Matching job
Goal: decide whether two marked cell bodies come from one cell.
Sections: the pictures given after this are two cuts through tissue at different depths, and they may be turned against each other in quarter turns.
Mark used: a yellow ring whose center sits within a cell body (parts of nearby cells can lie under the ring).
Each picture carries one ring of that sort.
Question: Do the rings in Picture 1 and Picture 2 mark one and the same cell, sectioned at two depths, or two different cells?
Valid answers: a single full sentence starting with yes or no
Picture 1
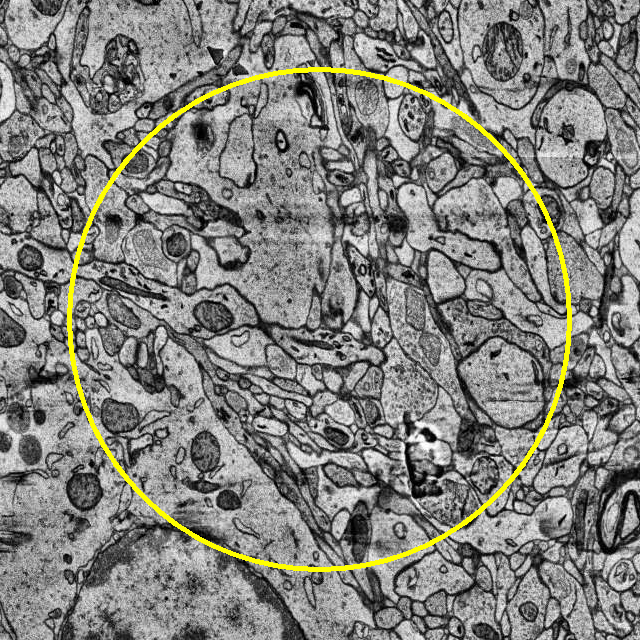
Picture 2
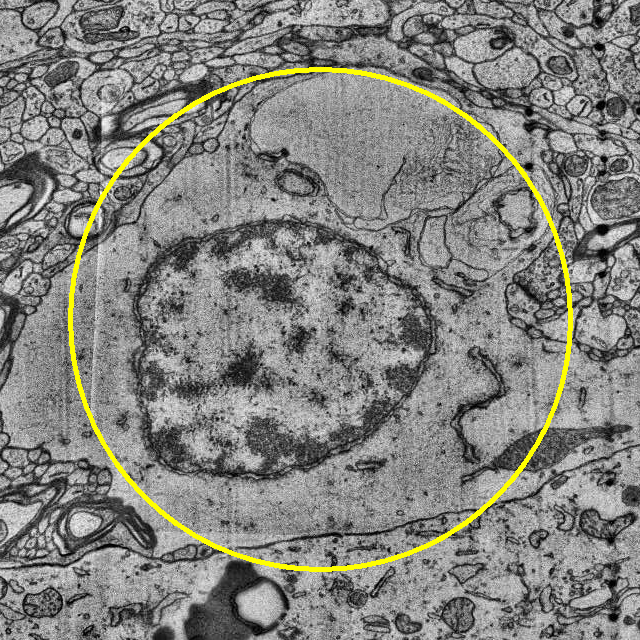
No, the two circled cells are distinct from one another.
